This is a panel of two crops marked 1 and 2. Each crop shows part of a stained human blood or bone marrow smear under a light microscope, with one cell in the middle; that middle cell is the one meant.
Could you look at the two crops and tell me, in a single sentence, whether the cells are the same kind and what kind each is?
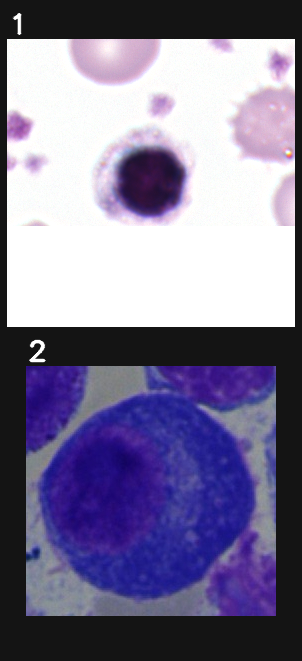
No, mark crop 1 as an erythroblast and crop 2 as a plasma cell.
